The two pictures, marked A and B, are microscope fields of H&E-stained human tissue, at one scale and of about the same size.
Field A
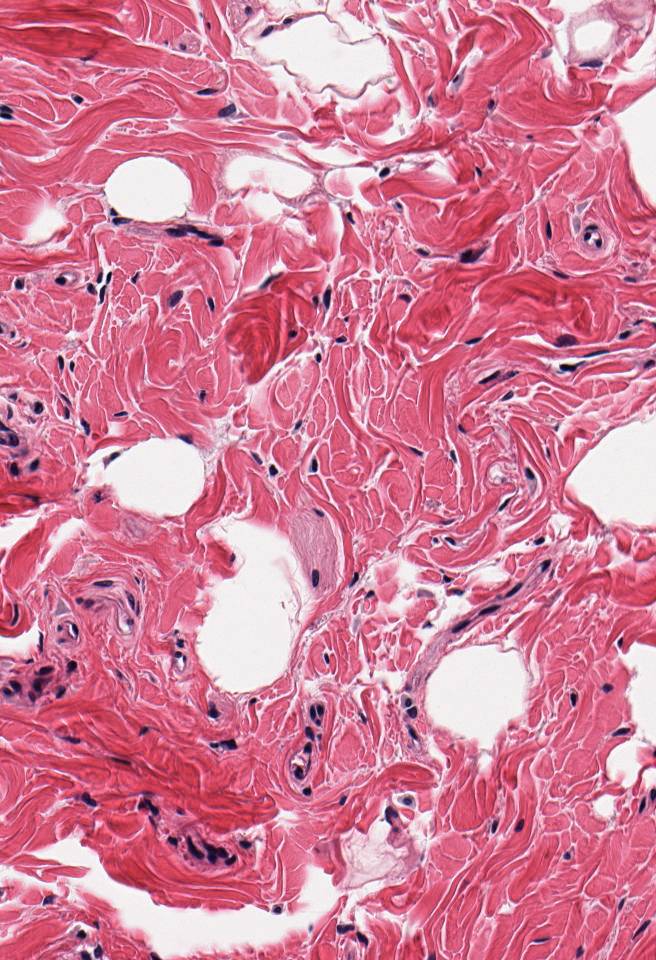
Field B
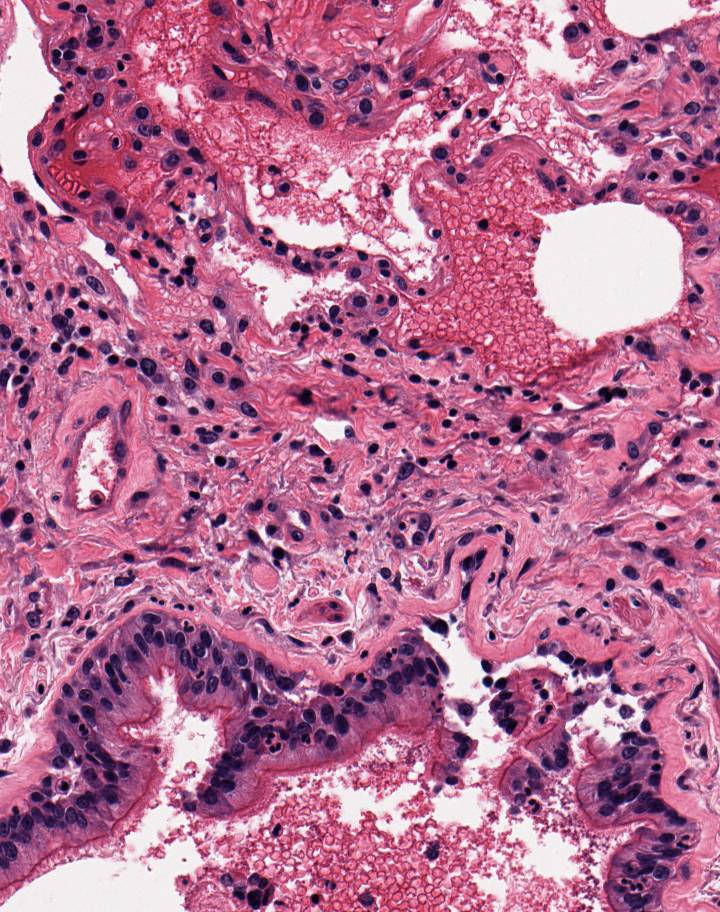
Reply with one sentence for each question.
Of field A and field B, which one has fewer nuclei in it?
The smaller number of nuclei is in field A.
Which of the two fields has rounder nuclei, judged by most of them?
On the whole the nuclei of field B are rounder than those of field A.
